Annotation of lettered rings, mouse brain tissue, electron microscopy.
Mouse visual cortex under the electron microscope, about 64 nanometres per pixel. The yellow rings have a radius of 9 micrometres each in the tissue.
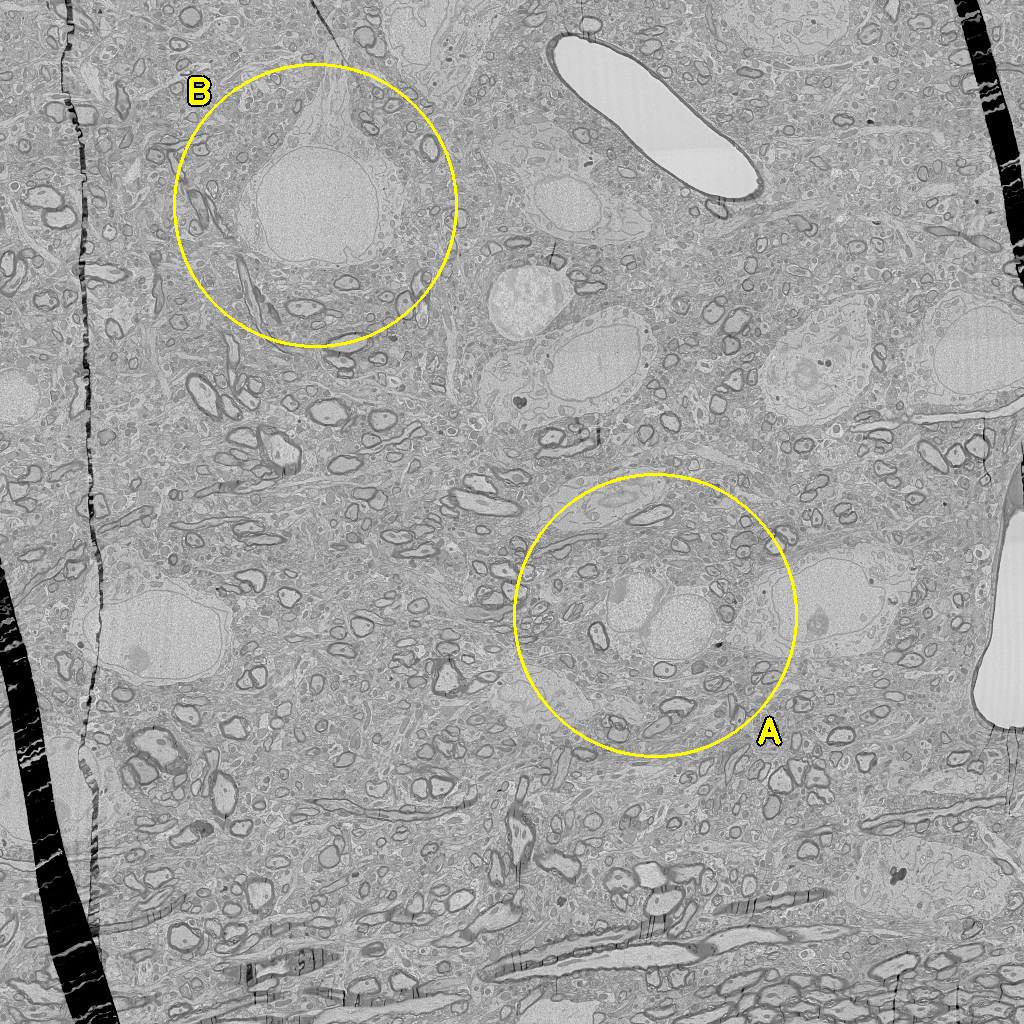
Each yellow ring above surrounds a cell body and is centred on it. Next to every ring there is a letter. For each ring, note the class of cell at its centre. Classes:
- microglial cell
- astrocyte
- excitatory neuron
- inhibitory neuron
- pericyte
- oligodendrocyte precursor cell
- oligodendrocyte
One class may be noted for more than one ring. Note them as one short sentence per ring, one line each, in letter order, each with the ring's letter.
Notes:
The class noted at ring A is an astrocyte.
The class noted at ring B is an excitatory neuron.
